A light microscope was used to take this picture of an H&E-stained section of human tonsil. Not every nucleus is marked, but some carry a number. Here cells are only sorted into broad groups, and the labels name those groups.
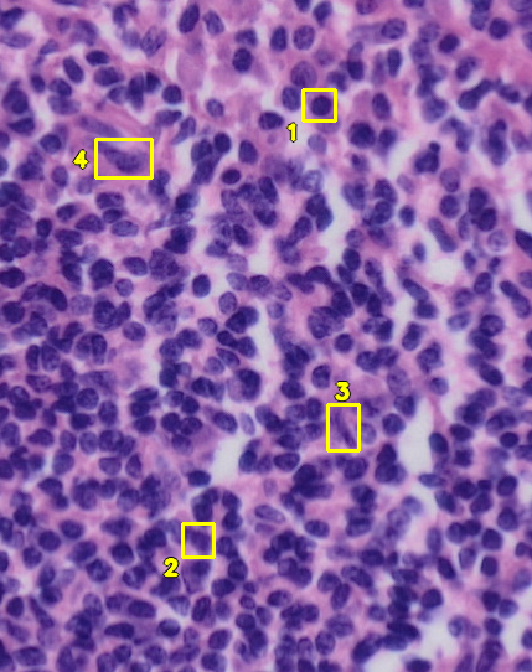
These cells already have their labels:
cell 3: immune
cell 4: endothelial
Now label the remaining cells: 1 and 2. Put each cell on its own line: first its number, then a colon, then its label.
1: immune
2: immune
